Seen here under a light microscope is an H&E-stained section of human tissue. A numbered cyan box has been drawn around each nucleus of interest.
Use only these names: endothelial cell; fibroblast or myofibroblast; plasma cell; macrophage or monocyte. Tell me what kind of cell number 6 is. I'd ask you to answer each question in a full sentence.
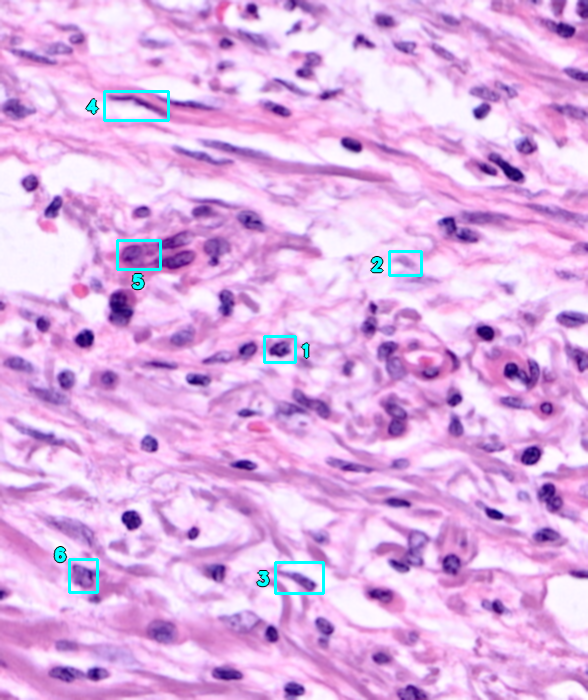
The cell identified by the number 6 is a macrophage or monocyte.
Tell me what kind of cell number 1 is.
The cell identified by the number 1 is a plasma cell.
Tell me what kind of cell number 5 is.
Cell 5, as marked in the section, is an endothelial cell.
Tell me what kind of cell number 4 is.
The cell with the number 4 is a fibroblast or myofibroblast.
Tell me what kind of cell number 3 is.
It is as a fibroblast or myofibroblast that the cell numbered 3 is identified.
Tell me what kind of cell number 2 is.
The cell indicated with the number 2 is classed as a fibroblast or myofibroblast.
